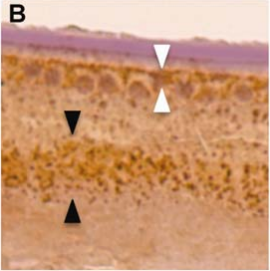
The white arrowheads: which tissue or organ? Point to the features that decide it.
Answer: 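The white arrowheads bracket a single row of cuboidal cells with round nuclei. The row lies directly beneath a smooth purple acellular band at the surface.
Conclusion: epithelium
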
